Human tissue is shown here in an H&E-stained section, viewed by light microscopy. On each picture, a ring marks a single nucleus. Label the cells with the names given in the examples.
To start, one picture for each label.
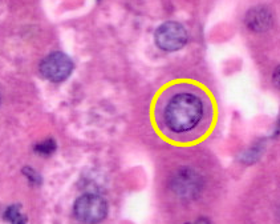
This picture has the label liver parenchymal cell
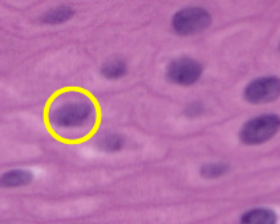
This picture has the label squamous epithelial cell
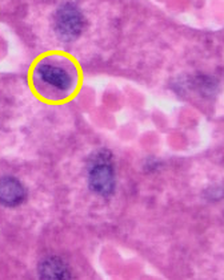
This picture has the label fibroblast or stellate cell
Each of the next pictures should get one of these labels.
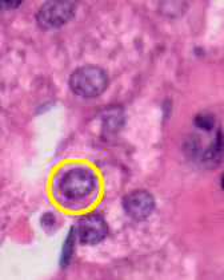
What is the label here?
liver parenchymal cell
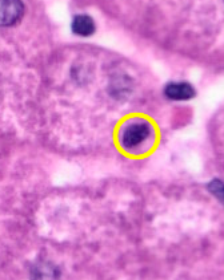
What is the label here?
fibroblast or stellate cell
